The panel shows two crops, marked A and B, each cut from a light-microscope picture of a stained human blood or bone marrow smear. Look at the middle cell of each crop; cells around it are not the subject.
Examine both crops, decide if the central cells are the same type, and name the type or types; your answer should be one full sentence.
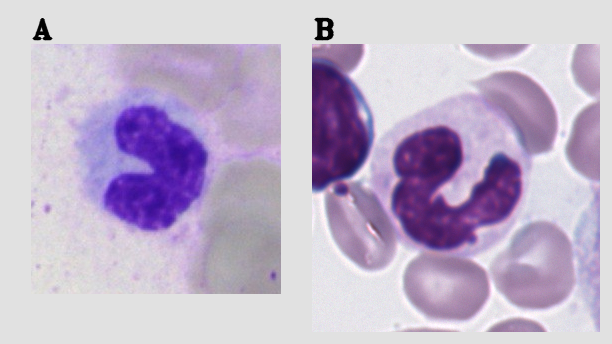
Yes, the two crops both show band neutrophils.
